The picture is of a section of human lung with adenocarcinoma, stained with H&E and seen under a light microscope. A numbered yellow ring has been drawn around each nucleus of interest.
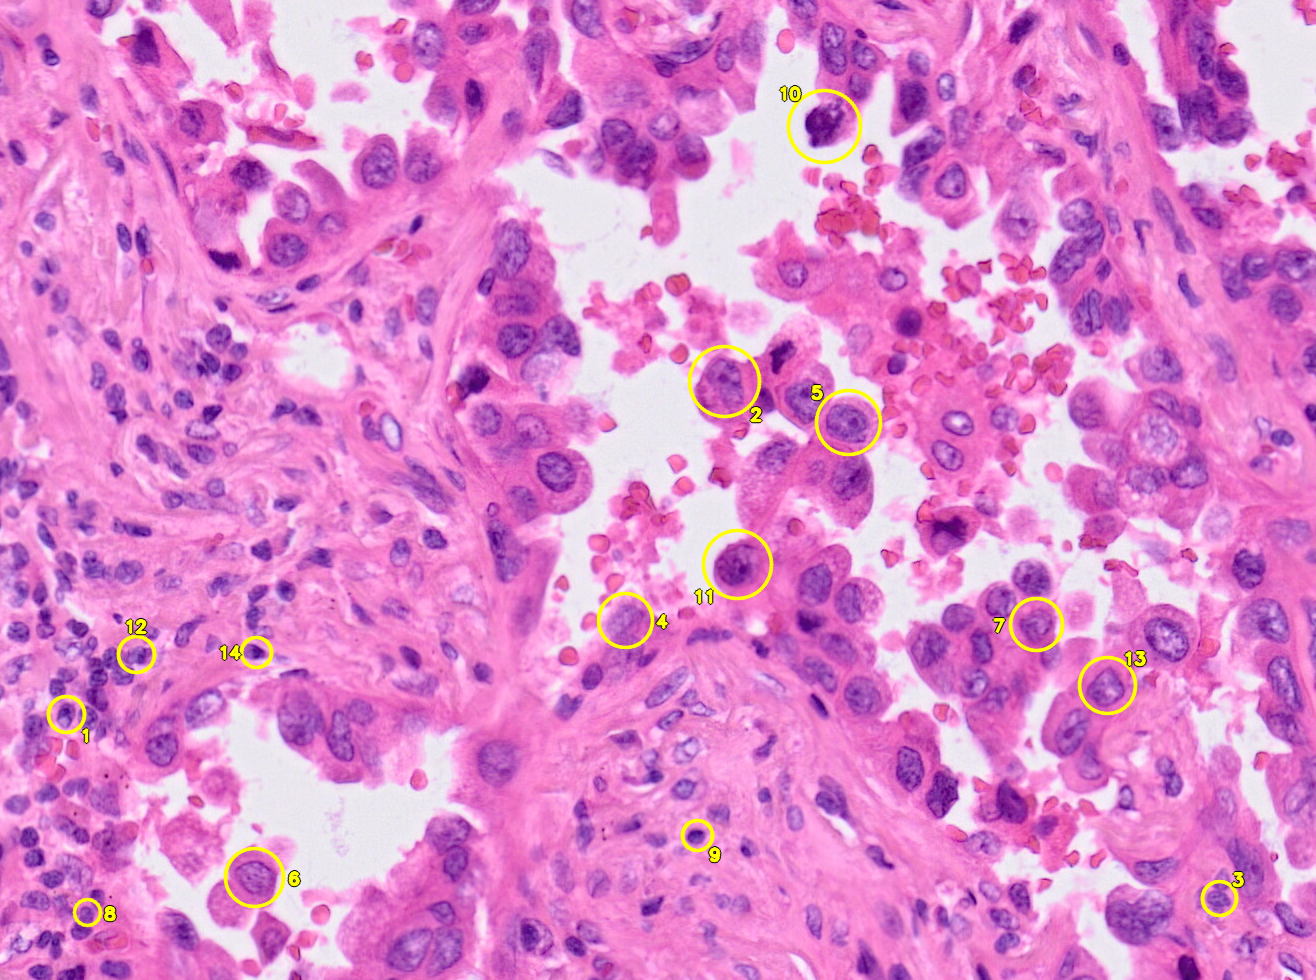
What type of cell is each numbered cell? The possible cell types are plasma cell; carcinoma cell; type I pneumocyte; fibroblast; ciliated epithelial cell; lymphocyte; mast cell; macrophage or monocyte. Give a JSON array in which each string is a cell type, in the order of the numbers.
["lymphocyte", "carcinoma cell", "lymphocyte", "carcinoma cell", "carcinoma cell", "carcinoma cell", "carcinoma cell", "lymphocyte", "lymphocyte", "carcinoma cell", "carcinoma cell", "lymphocyte", "carcinoma cell", "lymphocyte"]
